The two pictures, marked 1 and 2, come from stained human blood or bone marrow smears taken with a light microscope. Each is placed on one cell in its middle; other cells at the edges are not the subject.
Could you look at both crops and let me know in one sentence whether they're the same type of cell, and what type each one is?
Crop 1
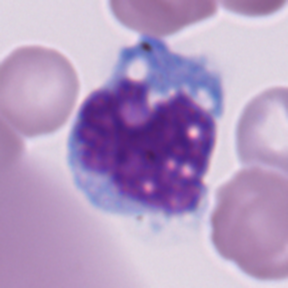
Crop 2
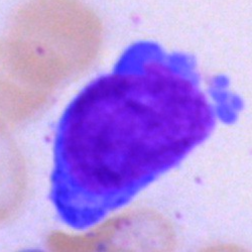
No, at the centre of crop 1 is a monocyte, and at the centre of crop 2 is a blast.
